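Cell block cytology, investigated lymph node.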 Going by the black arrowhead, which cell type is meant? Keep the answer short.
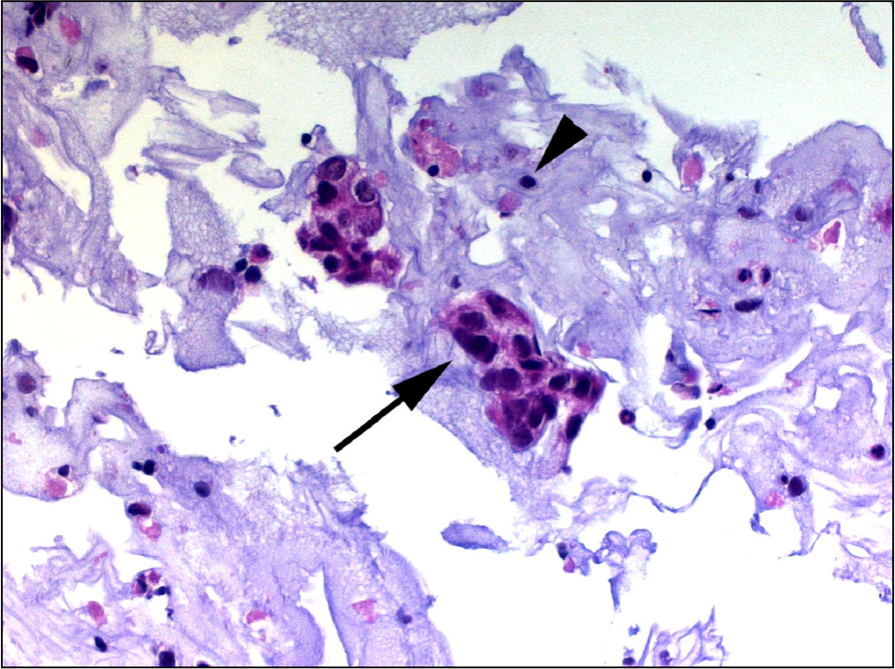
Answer: Lymphocyte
